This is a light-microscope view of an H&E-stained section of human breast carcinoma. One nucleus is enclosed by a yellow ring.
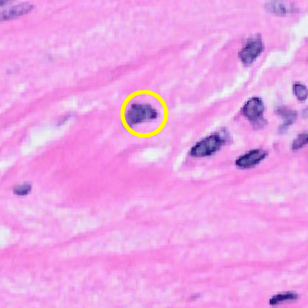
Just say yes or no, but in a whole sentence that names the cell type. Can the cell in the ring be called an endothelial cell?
No, the cell in the ring is a lymphocyte rather than an endothelial cell.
